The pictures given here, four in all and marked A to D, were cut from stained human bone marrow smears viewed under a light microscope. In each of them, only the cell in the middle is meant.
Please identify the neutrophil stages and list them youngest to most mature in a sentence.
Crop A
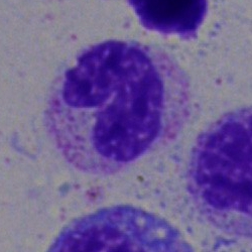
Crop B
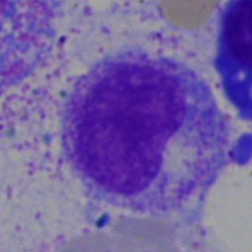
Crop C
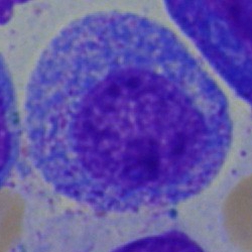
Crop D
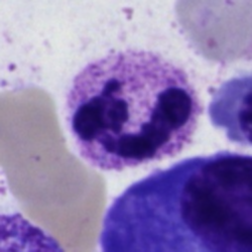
The crops, ordered from least to most mature, are crop C (a promyelocyte), crop B (a metamyelocyte), crop A (a band neutrophil) and crop D (a segmented neutrophil).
